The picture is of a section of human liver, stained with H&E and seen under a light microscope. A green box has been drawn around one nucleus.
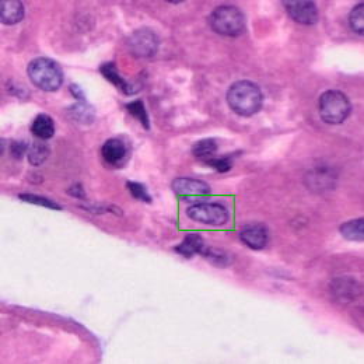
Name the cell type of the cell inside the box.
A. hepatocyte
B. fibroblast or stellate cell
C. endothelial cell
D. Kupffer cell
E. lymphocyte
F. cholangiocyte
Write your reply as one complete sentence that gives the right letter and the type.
Option F, identifying the cell inside the box as a cholangiocyte, is correct.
